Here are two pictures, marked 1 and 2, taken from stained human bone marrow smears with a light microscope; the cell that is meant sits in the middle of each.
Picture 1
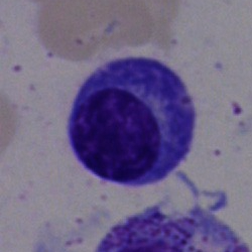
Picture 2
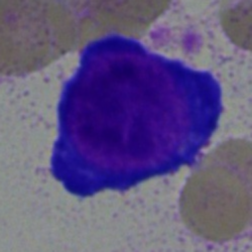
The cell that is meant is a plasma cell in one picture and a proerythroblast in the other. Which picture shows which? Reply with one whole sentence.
It is picture 1 that shows a plasma cell, and picture 2 that shows a proerythroblast.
